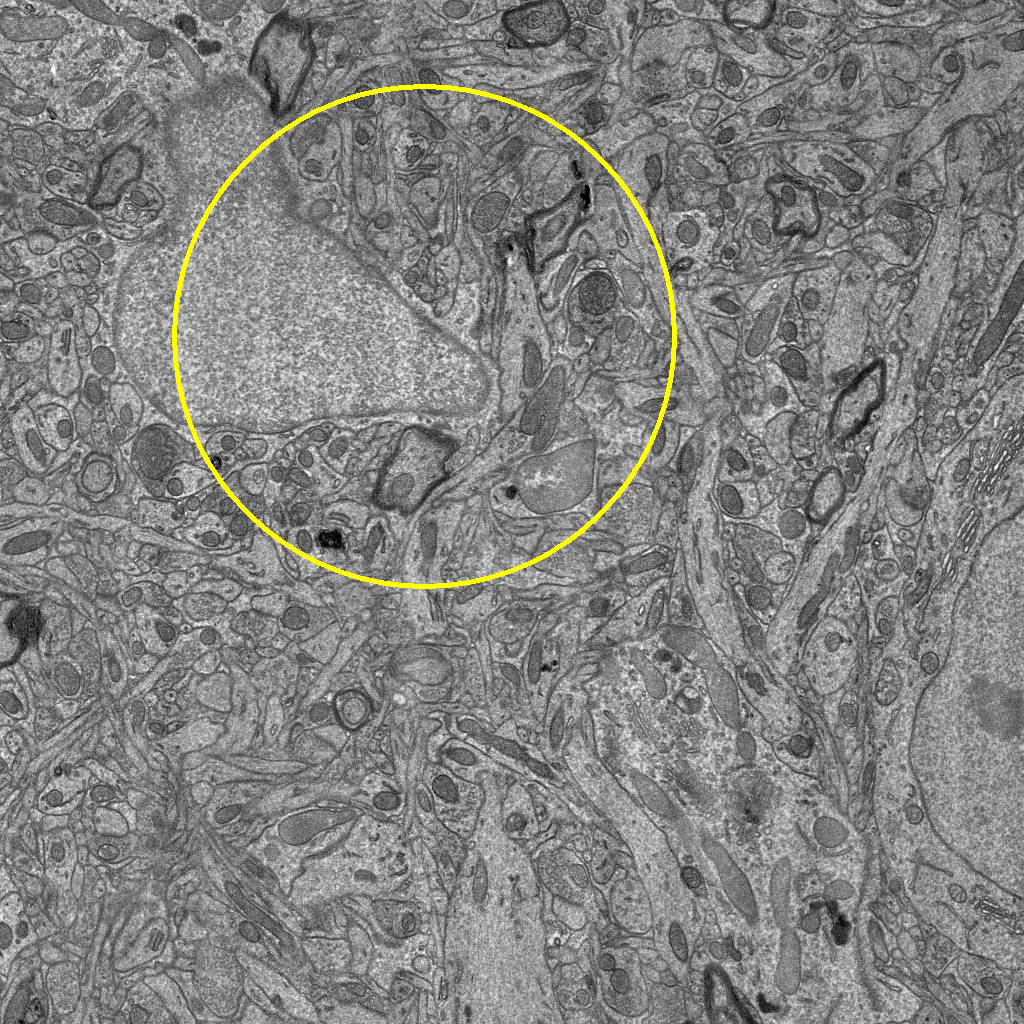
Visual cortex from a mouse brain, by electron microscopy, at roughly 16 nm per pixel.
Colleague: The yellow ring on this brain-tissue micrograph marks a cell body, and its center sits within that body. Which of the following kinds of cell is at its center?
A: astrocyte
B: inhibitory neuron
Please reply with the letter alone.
A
